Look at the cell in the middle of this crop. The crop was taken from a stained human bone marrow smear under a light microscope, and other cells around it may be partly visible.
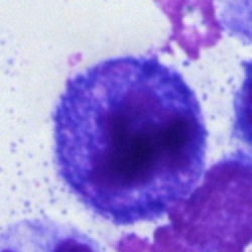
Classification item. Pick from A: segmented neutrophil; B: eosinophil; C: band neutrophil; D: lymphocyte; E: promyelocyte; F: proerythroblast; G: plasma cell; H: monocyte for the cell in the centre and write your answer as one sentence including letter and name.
Option E is right, the centrally situated cell being a promyelocyte.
